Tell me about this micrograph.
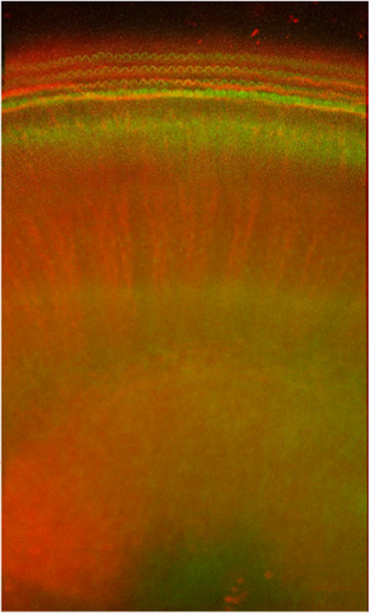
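This is a flat view of the cochlea with hair cells along the top. Below the rows, faint red strands run roughly radially downward toward the lower part of the field, where the ganglion region lies as a dim, out-of-focus reddish-green area with no sharp outlines of single neurons. The rows are even and closely spaced along their length, with no obvious gaps.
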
